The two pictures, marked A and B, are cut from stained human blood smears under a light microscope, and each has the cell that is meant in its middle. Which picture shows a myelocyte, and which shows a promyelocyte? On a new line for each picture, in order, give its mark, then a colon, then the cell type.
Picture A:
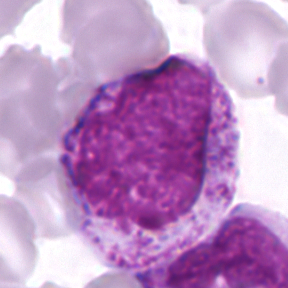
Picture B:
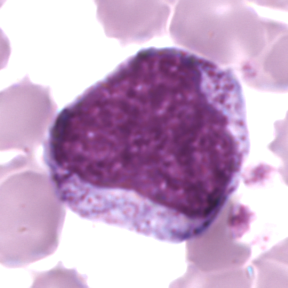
A: myelocyte
B: promyelocyte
